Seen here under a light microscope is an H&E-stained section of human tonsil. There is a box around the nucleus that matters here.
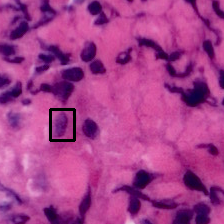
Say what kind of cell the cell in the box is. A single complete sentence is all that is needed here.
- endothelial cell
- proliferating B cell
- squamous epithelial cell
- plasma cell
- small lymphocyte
Assigned to a cell type, the cell in the box is an endothelial cell.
